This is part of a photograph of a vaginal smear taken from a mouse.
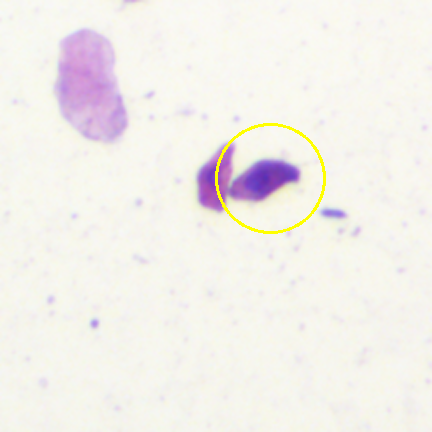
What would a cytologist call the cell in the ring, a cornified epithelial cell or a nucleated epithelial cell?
A cytologist would call it a nucleated epithelial cell.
